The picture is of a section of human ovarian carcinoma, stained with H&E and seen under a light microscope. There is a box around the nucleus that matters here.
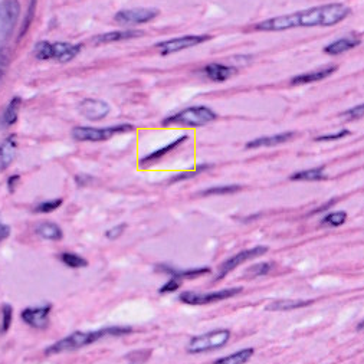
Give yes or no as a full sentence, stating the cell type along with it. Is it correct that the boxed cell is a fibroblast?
Yes, the boxed cell corresponds to a fibroblast in this tissue.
